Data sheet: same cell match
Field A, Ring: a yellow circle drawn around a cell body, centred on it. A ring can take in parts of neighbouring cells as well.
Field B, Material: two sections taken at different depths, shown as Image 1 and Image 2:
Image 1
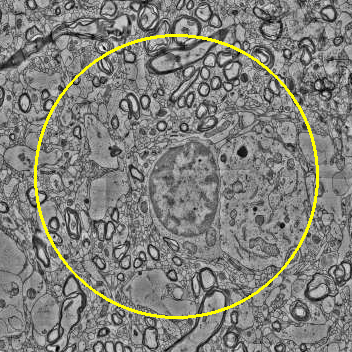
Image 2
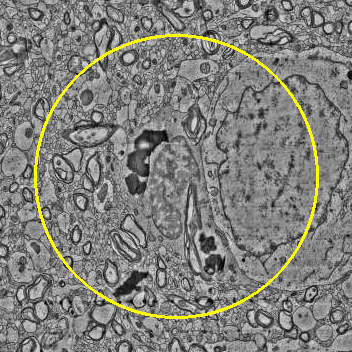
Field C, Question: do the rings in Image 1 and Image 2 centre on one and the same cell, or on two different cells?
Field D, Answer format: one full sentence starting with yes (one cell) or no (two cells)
No, the first ring and the second ring mark different cells.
